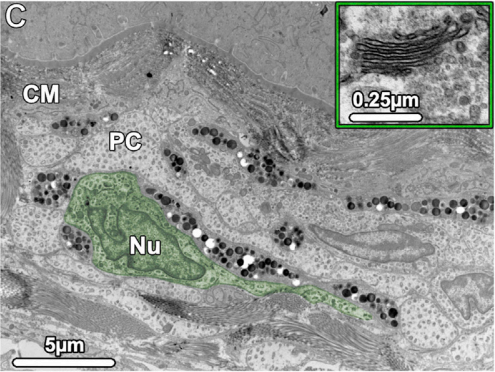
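This electron micrograph shows pale cells lying beneath a fibrous collagen mat. One pale cell is tinted green, showing an elongated nucleus that tapers into a long thin process running sideways. The surrounding pale cells form numerous thin, closely spaced processes, filled with rounded light vesicles. Rows of small, dark round granules lie between some of the processes. The inset shows a small stack of flattened membrane cisternae, a Golgi apparatus.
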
